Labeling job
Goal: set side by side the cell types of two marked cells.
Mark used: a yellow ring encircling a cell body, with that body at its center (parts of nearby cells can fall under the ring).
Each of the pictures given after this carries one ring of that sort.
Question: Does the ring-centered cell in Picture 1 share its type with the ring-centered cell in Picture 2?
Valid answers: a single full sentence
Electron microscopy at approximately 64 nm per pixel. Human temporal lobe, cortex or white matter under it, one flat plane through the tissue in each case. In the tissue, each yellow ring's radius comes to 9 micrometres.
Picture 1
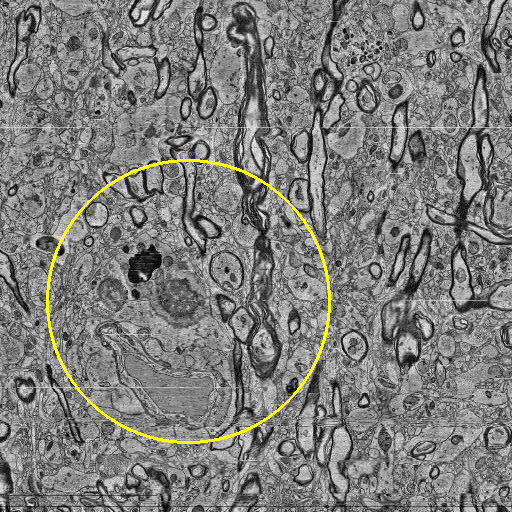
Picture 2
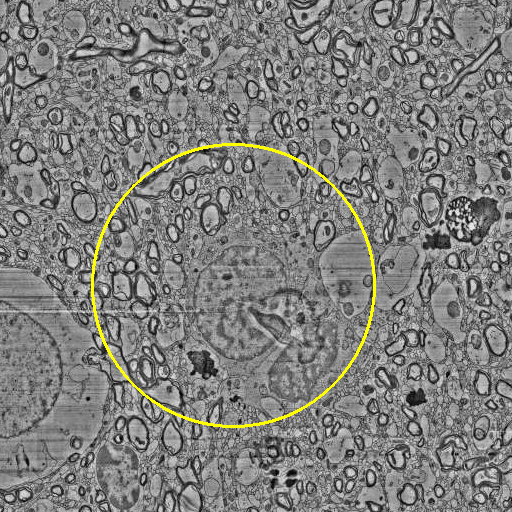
Yes, in Pictures 1 and 2 the cells at the ring centers share one type.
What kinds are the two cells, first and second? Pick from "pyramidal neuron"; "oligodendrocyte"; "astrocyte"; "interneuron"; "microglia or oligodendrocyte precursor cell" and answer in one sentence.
Each of the two pictures has an oligodendrocyte at the ring centre.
